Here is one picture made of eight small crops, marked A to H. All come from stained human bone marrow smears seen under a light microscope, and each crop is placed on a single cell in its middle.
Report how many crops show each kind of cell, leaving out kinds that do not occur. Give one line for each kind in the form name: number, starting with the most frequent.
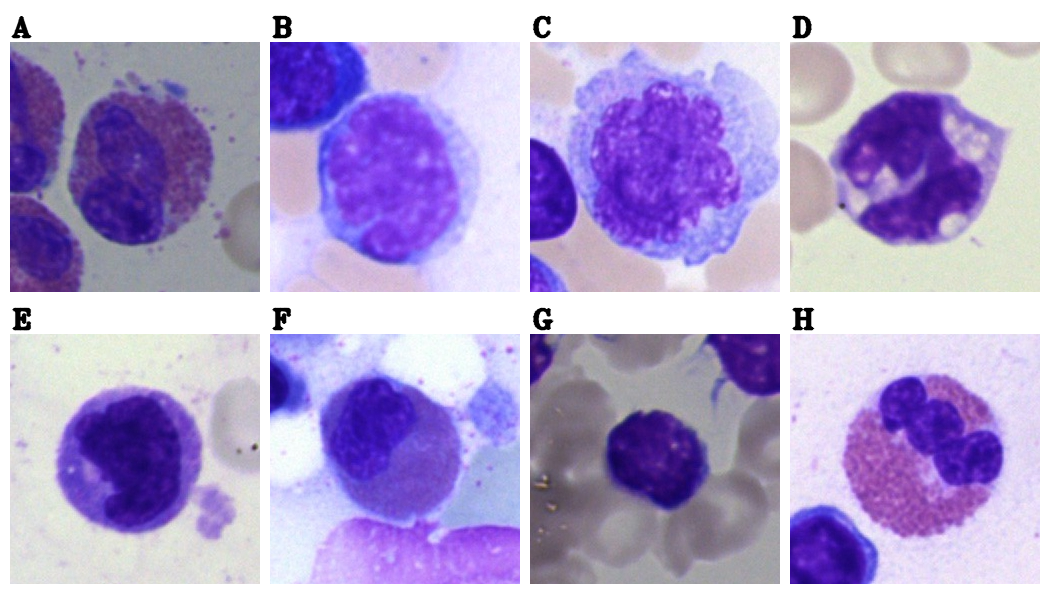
monocyte: 4
eosinophil: 3
lymphocyte: 1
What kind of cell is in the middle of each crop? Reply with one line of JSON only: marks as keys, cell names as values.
{"A": "eosinophil", "B": "monocyte", "C": "monocyte", "D": "monocyte", "E": "monocyte", "F": "eosinophil", "G": "lymphocyte", "H": "eosinophil"}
